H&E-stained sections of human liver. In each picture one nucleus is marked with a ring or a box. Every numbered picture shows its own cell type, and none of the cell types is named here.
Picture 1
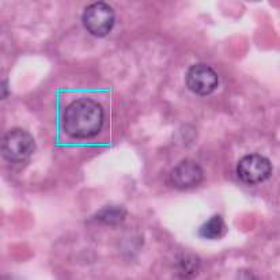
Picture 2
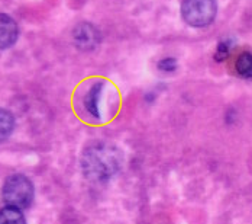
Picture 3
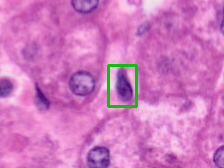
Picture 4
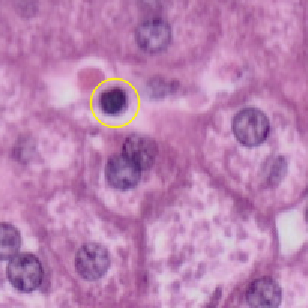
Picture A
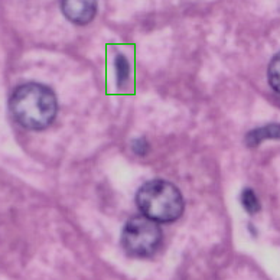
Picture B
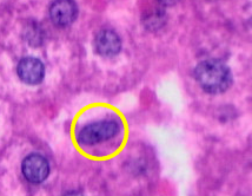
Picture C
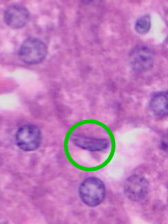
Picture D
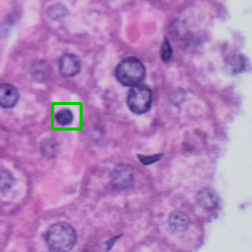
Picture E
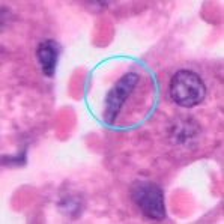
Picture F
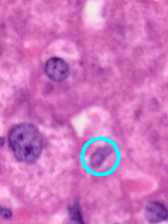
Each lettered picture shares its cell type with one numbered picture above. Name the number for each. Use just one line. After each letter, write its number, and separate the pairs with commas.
A 4, B 3, C 3, D 4, E 3, F 3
